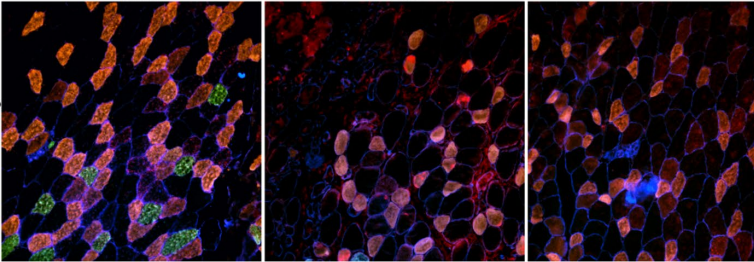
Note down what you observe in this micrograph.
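These are transverse sections of skeletal muscle in which the myofibers are cut across as closely packed polygonal profiles. Each fiber is outlined by a thin blue line that marks its boundary, so the mosaic of fibers can be followed across the field. Scattered fibers are filled with orange, and in the left image a smaller number of fibers are filled with speckled green, while most fibers stay dark inside their blue outlines.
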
